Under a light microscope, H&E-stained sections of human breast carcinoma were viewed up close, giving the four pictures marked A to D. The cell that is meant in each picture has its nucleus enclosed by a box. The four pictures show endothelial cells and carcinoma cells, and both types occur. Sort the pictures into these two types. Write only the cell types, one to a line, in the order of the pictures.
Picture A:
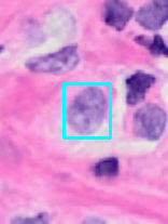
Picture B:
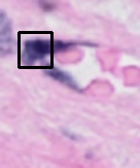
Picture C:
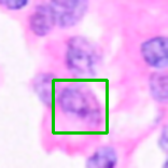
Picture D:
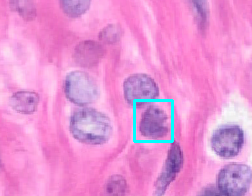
carcinoma cell
endothelial cell
carcinoma cell
carcinoma cell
